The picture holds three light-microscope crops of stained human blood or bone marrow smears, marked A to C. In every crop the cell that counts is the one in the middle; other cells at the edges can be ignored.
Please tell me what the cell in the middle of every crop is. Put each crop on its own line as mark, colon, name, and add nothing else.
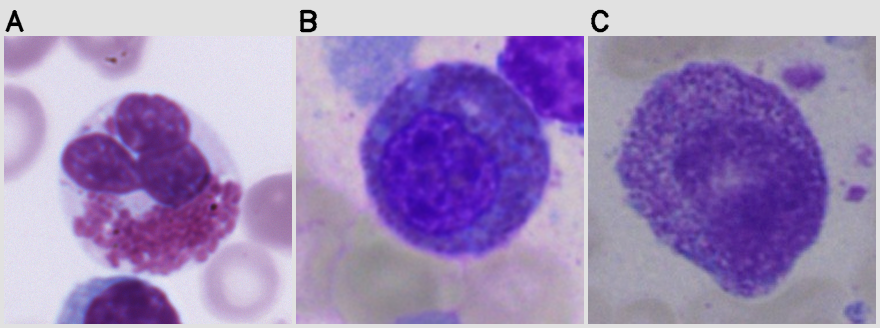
A: eosinophil
B: eosinophil
C: myelocyte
